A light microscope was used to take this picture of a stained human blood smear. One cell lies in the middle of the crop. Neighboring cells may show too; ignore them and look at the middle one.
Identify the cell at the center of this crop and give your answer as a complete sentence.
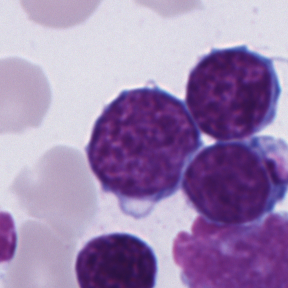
The centrally located cell in the crop is a myeloblast.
